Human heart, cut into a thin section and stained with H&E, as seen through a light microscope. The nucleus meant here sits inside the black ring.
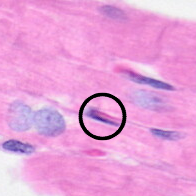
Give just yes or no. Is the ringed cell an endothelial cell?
yes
